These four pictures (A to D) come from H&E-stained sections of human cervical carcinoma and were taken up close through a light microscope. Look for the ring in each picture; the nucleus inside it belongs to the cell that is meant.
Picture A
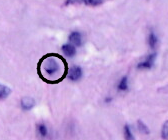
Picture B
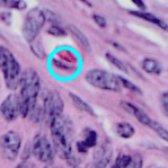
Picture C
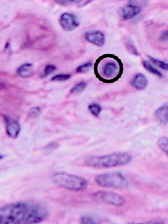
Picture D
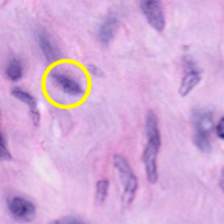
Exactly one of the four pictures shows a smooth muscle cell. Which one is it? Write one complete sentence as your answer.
The smooth muscle cell is the one in picture C.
